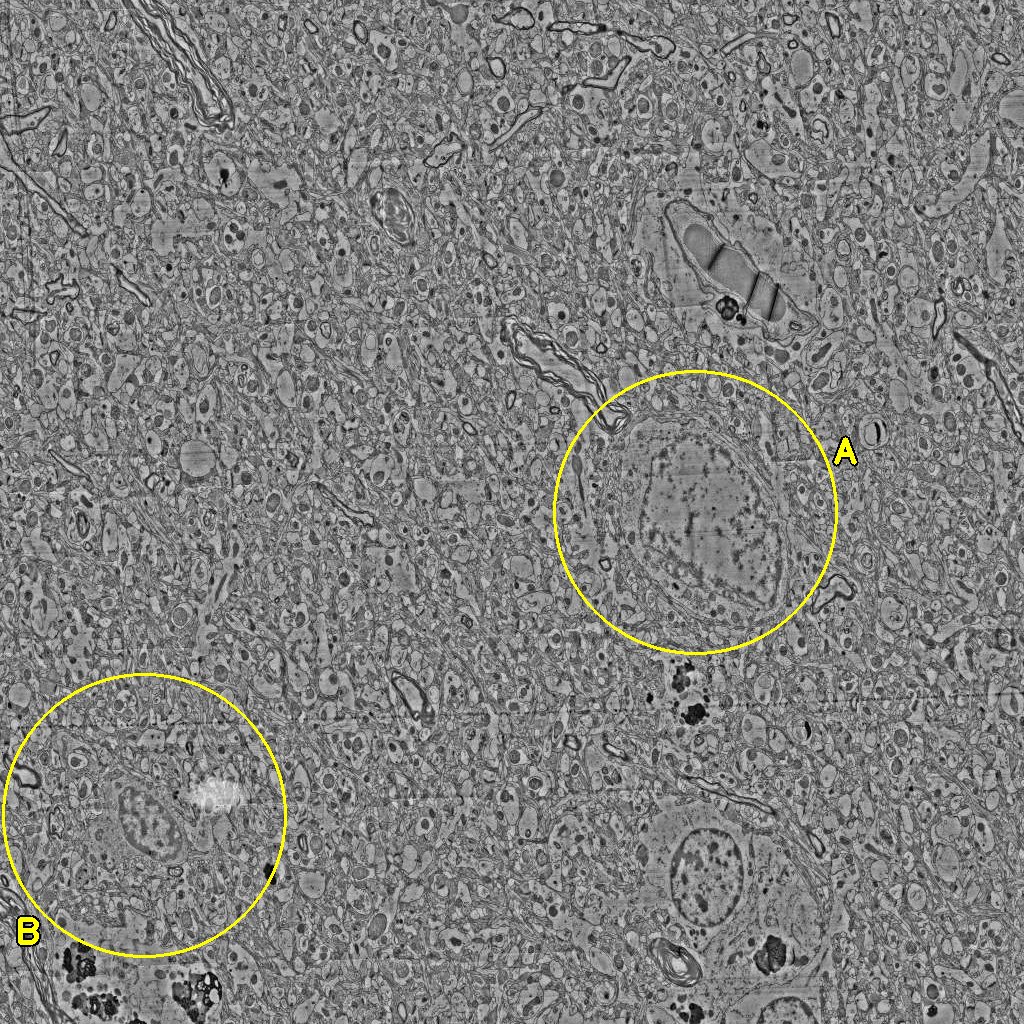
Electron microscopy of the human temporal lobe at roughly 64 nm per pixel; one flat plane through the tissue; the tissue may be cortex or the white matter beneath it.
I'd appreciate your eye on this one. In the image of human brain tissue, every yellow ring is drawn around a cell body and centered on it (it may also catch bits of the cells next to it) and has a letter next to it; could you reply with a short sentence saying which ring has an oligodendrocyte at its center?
Ring B is centered on it.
